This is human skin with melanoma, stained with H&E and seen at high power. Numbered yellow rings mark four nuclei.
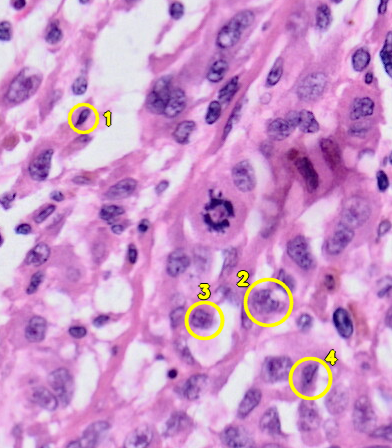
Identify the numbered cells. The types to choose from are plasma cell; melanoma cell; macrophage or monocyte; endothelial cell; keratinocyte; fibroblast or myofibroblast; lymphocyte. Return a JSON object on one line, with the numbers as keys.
{"1": "macrophage or monocyte", "2": "melanoma cell", "3": "melanoma cell", "4": "melanoma cell"}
